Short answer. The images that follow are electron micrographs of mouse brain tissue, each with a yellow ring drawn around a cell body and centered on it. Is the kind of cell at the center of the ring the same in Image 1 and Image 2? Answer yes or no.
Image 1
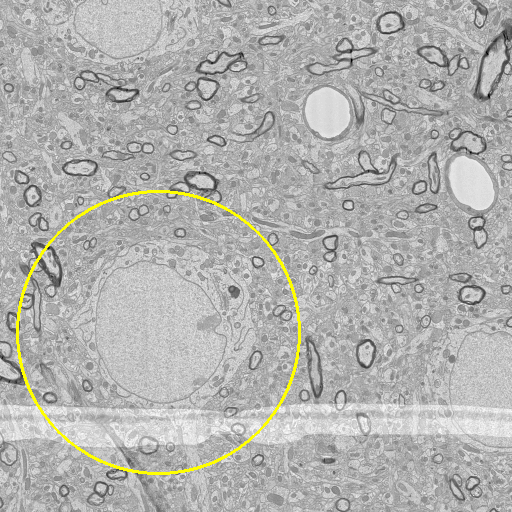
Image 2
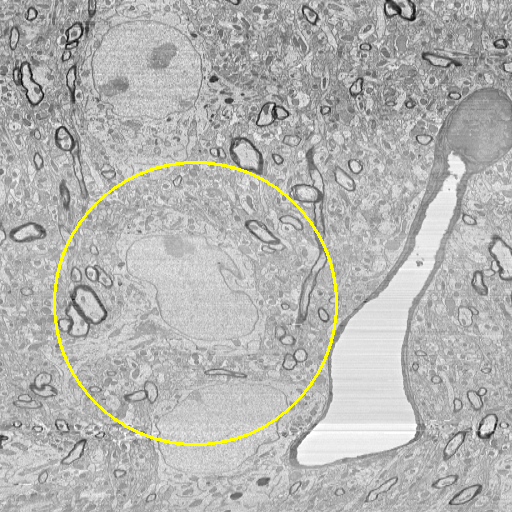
yes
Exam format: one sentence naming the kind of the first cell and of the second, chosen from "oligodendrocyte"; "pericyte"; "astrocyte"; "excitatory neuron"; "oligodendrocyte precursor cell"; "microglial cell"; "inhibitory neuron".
In each of the two pictures, the ringed cell is an excitatory neuron.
